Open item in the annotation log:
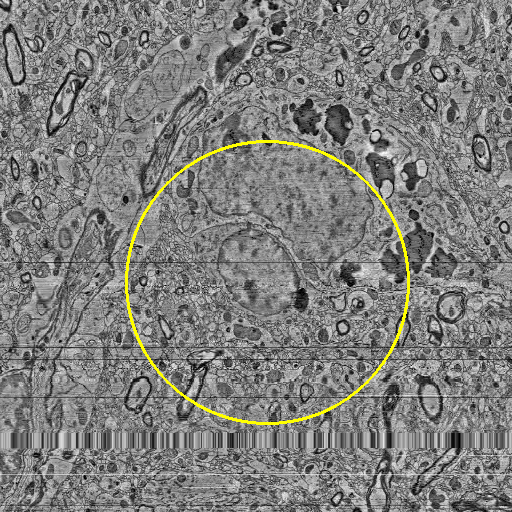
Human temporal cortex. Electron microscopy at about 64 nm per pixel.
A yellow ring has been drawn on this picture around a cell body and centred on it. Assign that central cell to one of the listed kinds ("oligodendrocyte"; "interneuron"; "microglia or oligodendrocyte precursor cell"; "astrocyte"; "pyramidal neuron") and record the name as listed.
oligodendrocyte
